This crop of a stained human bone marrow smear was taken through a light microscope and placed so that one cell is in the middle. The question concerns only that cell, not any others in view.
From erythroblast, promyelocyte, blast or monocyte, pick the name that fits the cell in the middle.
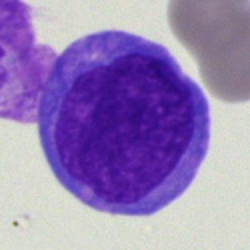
blast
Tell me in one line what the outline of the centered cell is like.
Smooth all around, the outline has no projections to report.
